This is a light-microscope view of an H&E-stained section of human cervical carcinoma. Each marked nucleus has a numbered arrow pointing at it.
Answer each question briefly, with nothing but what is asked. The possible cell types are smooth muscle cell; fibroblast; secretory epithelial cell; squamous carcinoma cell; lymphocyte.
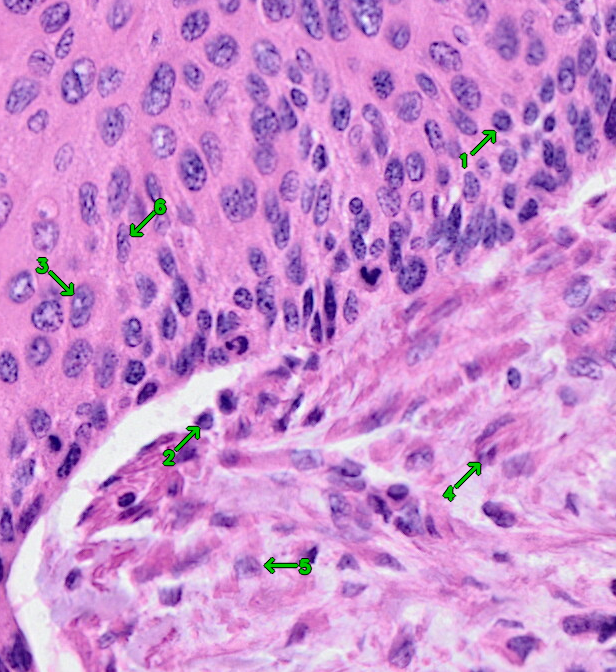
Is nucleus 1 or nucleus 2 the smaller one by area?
2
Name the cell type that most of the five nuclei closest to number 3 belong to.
squamous carcinoma cell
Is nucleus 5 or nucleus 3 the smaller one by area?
5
